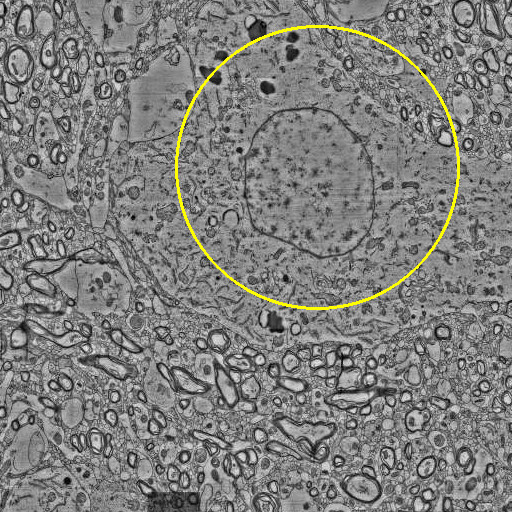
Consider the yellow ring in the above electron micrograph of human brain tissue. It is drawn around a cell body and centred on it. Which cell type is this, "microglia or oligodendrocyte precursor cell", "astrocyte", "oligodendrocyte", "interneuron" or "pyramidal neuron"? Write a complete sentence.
The cell in question is a pyramidal neuron.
